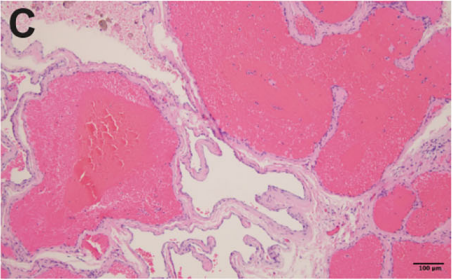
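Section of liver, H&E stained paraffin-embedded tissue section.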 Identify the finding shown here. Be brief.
cavernous hemangioma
